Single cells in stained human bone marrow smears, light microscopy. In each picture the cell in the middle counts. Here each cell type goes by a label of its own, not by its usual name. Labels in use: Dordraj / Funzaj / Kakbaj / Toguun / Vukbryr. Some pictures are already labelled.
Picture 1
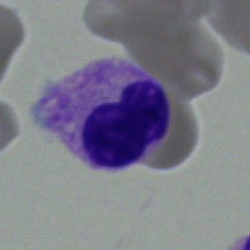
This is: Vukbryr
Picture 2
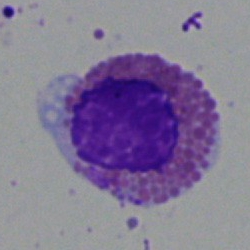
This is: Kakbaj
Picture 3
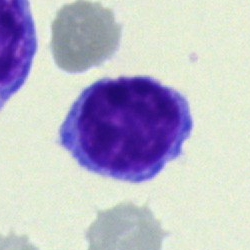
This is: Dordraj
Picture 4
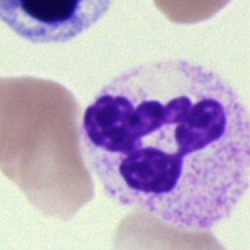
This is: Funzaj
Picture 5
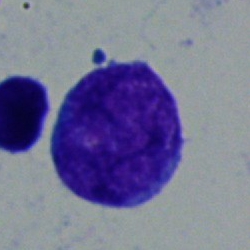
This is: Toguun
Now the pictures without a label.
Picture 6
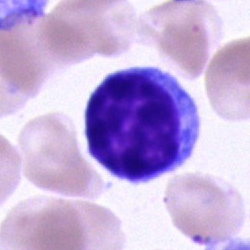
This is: Dordraj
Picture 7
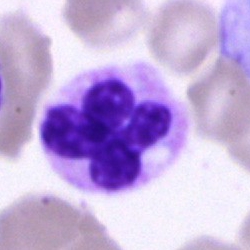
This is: Funzaj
